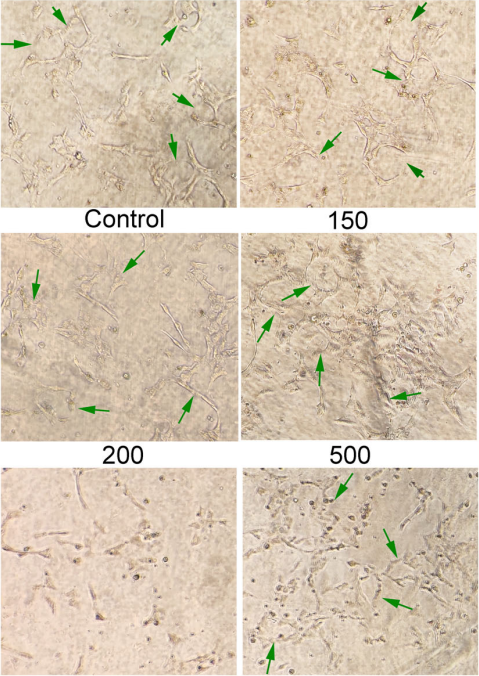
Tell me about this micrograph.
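Many cells are drawn out into slender, spindle-shaped forms with thin processes. Where they meet end to end they form narrow cords that branch and connect, outlining irregular open meshes like a loose capillary network. Scattered between the cords lie small rounded cells and debris that are not part of any cord. In some fields the network is more continuous. In others the cells lie more isolated as short fragments, with fewer closed loops.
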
